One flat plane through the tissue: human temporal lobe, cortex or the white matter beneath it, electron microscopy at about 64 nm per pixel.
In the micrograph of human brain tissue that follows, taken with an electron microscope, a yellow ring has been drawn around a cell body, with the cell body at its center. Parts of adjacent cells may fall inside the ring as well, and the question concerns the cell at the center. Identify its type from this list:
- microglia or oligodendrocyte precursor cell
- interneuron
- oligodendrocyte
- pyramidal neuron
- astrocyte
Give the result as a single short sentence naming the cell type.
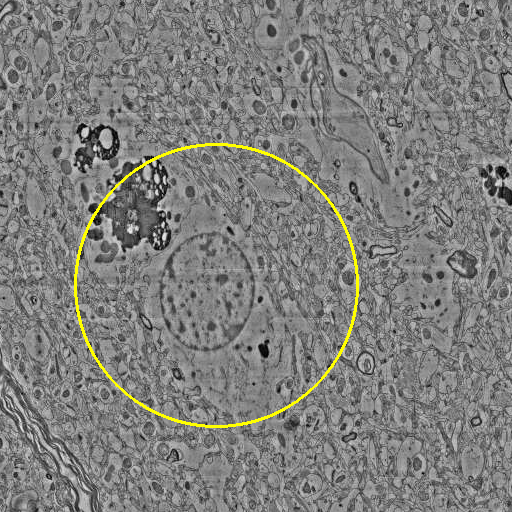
The ring is centered on an astrocyte.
